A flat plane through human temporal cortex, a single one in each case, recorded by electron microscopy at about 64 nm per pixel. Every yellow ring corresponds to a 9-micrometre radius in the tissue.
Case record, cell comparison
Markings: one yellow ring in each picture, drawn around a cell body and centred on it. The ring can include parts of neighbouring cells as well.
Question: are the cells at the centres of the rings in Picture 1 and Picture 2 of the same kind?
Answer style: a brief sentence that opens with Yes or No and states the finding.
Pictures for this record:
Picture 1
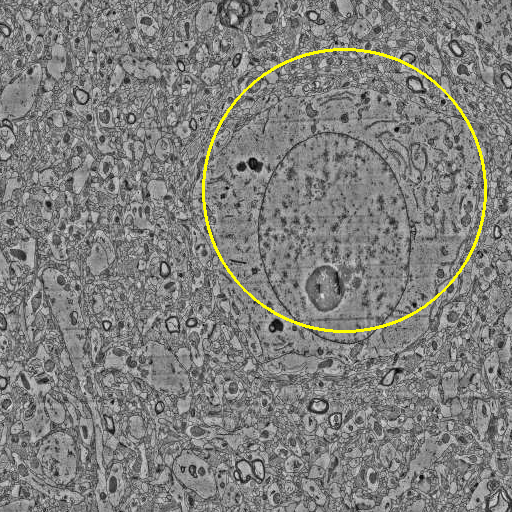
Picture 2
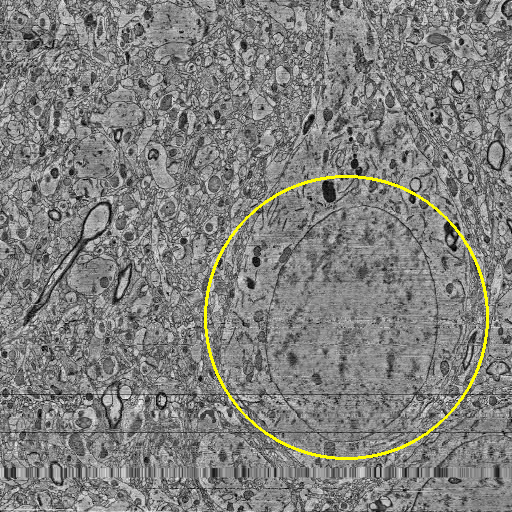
Yes, the cells in Picture 1 and Picture 2 are of the same kind.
